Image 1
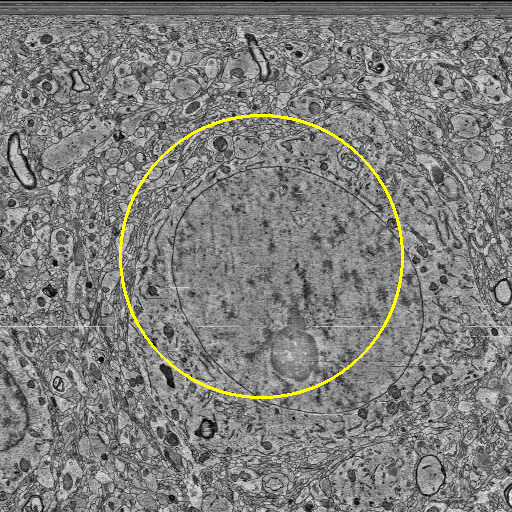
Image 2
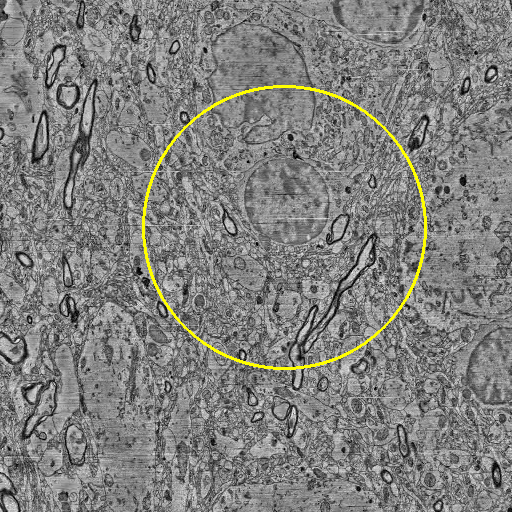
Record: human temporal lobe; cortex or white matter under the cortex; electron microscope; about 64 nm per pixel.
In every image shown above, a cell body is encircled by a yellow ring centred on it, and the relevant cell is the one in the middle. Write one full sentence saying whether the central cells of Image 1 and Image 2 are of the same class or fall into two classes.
The cell at the ring's centre in Image 1 and its counterpart in Image 2 fall into two classes.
